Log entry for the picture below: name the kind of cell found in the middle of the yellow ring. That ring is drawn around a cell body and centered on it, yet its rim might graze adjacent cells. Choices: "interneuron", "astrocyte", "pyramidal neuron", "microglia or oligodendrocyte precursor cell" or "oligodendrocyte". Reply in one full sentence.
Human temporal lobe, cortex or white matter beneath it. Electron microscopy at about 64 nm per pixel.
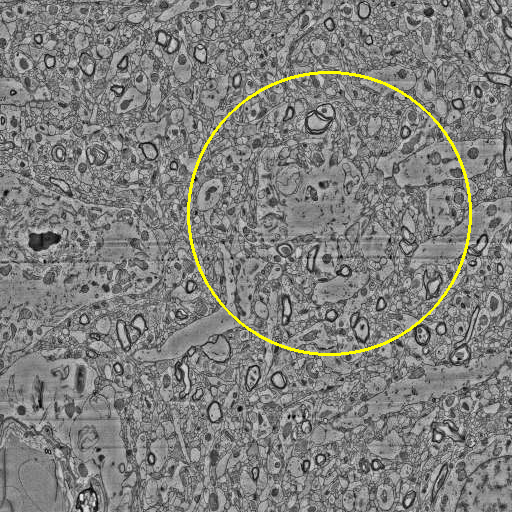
The cell in the middle of the yellow ring in this picture is an astrocyte.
